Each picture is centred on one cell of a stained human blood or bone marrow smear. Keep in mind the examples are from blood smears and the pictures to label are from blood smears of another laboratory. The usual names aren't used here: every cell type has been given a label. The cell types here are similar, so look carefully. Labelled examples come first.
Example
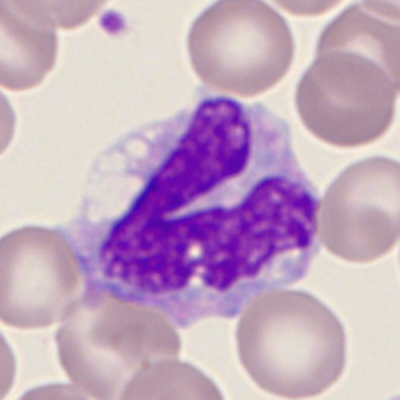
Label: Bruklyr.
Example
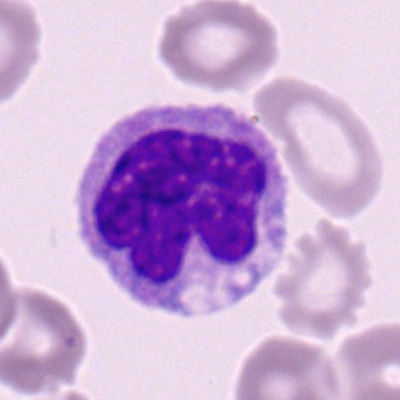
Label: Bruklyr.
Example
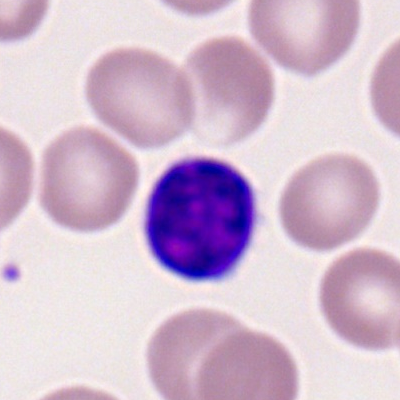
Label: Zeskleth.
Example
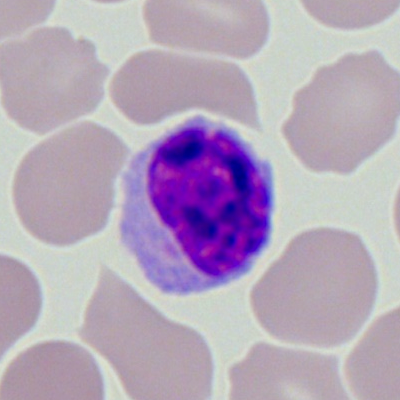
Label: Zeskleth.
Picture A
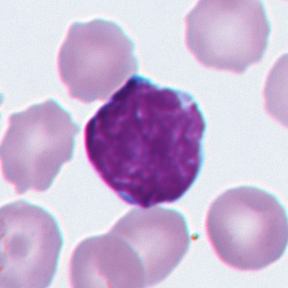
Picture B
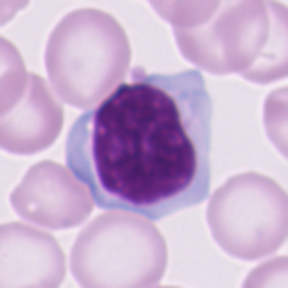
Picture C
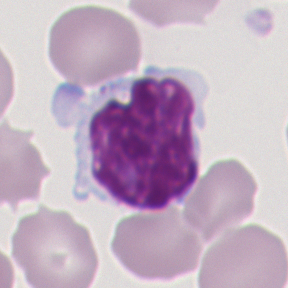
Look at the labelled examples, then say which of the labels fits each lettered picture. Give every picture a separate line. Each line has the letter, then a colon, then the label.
A: Zeskleth.
B: Zeskleth.
C: Zeskleth.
